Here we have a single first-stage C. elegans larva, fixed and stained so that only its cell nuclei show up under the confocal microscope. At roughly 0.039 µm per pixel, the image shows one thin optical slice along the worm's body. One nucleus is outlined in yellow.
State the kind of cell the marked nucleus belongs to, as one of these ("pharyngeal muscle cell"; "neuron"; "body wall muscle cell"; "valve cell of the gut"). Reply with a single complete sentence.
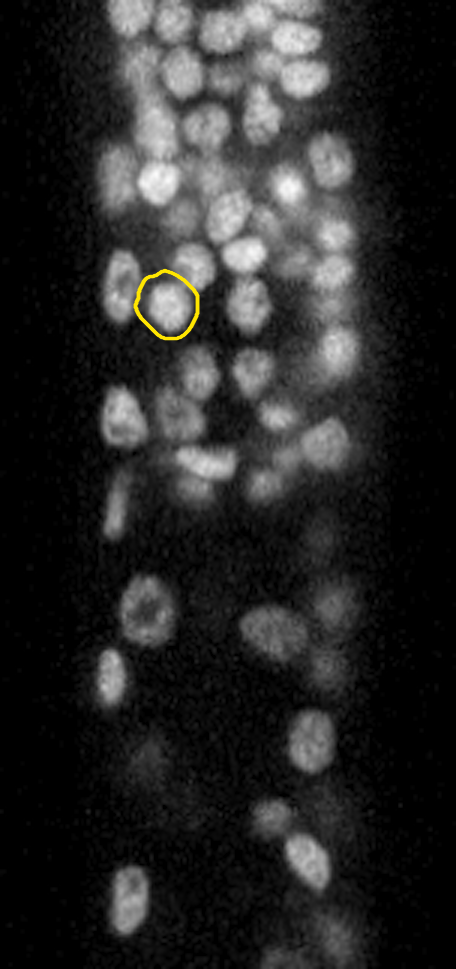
This nucleus is from a neuron.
